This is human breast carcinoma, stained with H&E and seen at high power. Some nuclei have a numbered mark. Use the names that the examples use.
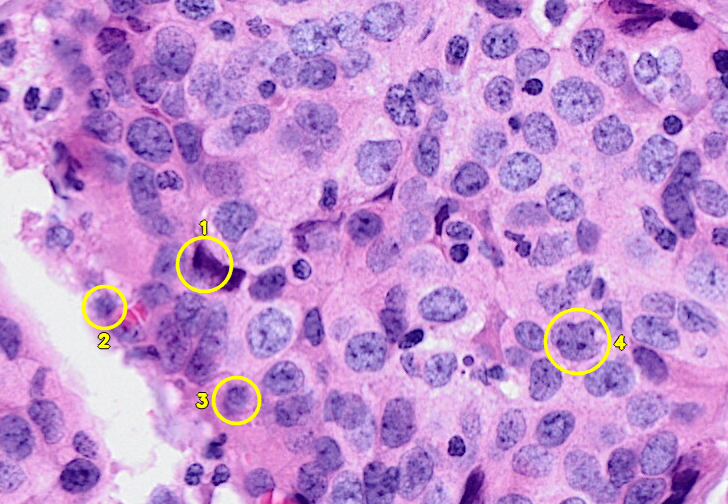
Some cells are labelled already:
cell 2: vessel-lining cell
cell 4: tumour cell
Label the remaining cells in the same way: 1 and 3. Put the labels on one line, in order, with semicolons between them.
tumour cell; tumour cell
